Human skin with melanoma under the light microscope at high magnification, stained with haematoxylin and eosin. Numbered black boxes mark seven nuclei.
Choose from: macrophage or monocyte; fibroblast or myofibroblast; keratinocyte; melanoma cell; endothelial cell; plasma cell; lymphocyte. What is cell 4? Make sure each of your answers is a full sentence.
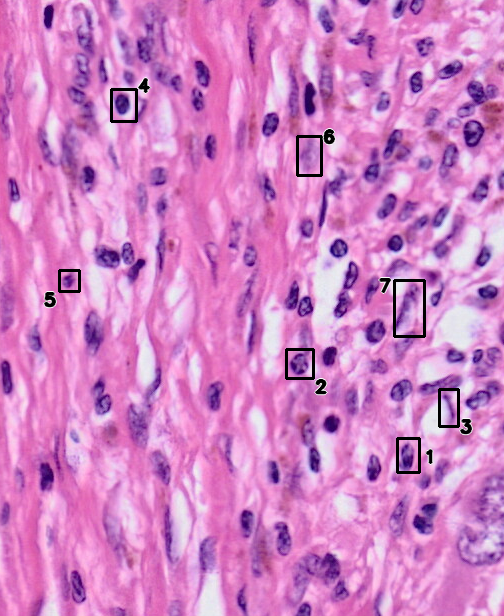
The correct answer for cell 4 is a lymphocyte.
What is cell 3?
The nucleus marked 3 is the nucleus of a fibroblast or myofibroblast.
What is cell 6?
The mark numbered 6 indicates the nucleus of a fibroblast or myofibroblast.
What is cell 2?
The numbered cell 2 is identified here as a plasma cell.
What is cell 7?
Cell 7 in the field is a fibroblast or myofibroblast.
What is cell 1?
The cell indicated with the number 1 is classed as a lymphocyte.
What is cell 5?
Cell 5 in the field of view is a lymphocyte.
